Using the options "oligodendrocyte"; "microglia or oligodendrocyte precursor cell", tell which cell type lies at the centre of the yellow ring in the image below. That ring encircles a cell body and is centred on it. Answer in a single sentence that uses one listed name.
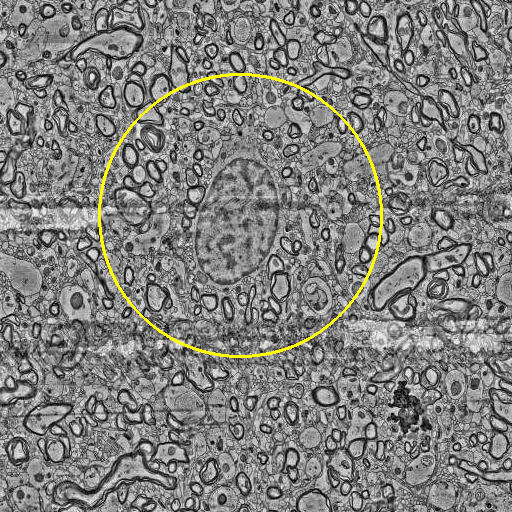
At the centre of the yellow ring lies the body of an oligodendrocyte.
